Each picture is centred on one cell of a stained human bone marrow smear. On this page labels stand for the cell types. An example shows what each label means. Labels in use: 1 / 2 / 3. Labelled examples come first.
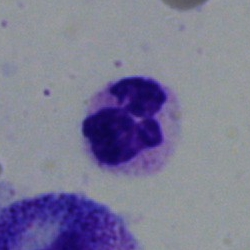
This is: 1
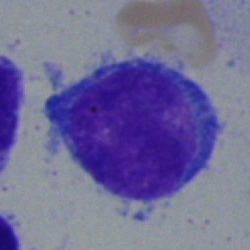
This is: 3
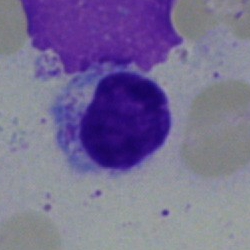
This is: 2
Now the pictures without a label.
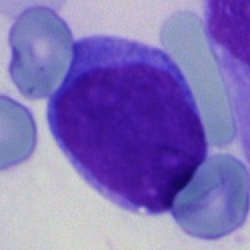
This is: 3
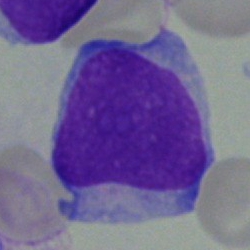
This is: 3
